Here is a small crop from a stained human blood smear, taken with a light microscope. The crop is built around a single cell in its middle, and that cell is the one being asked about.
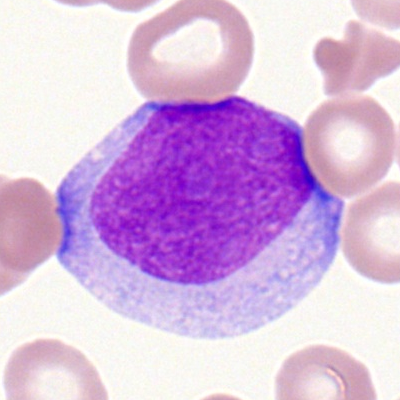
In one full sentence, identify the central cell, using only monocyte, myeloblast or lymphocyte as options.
As for the cell in the middle, it is a myeloblast.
